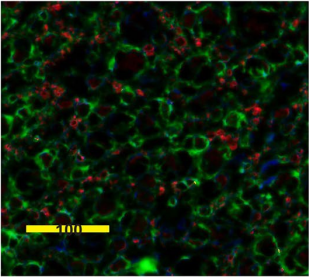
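This fluorescence image of a cross-section shows a dense green network of thin rings outlining round, dark profiles of varying size. Small red dots and specks are scattered through the field, lying mostly between and along the green rings. Red and green appear largely as separate colours, with little yellow where they meet. A few blue nuclei are sparsely distributed among the rings. One brighter green patch is seen near the lower edge.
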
